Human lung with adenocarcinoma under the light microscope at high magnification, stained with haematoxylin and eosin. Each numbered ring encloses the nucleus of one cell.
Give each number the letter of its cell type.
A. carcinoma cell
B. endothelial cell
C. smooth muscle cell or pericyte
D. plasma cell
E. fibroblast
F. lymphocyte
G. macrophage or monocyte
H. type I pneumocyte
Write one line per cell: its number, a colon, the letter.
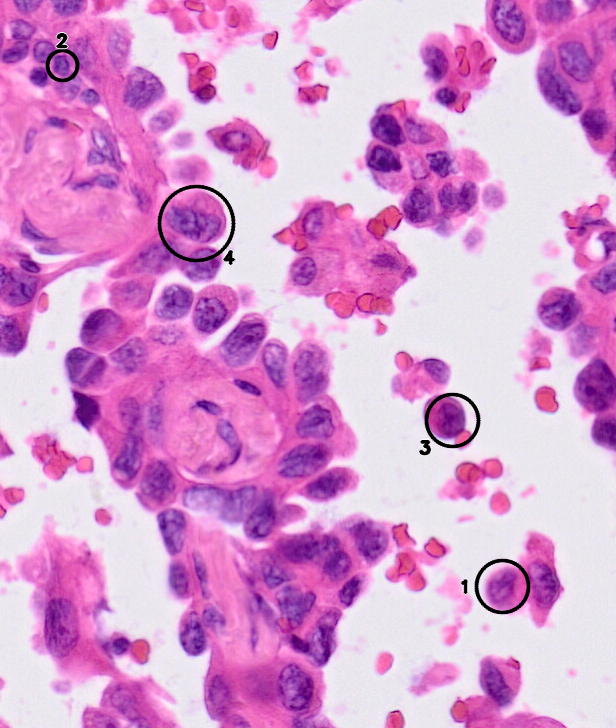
1: A
2: F
3: A
4: A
